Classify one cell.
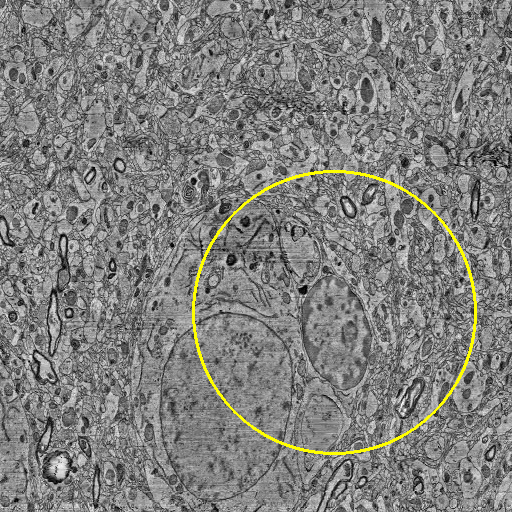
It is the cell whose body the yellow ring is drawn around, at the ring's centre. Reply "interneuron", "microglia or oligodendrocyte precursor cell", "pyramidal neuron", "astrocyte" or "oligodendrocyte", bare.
microglia or oligodendrocyte precursor cell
